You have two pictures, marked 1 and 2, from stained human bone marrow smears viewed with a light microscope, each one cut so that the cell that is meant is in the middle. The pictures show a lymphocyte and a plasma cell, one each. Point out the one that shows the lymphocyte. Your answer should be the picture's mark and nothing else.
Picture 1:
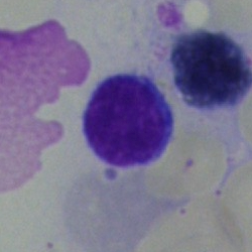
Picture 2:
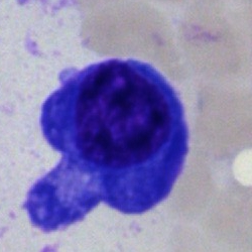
1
